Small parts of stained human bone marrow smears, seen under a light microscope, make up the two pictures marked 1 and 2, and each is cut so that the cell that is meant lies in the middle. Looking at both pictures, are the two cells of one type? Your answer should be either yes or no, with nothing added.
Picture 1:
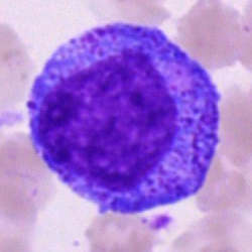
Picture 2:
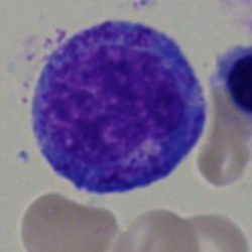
yes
